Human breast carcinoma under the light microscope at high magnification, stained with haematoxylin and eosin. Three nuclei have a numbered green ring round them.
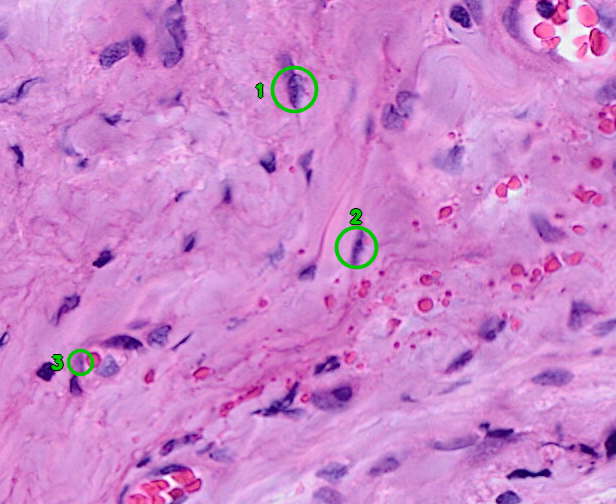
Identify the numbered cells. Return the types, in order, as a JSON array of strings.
["fibroblast", "fibroblast", "endothelial cell"]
